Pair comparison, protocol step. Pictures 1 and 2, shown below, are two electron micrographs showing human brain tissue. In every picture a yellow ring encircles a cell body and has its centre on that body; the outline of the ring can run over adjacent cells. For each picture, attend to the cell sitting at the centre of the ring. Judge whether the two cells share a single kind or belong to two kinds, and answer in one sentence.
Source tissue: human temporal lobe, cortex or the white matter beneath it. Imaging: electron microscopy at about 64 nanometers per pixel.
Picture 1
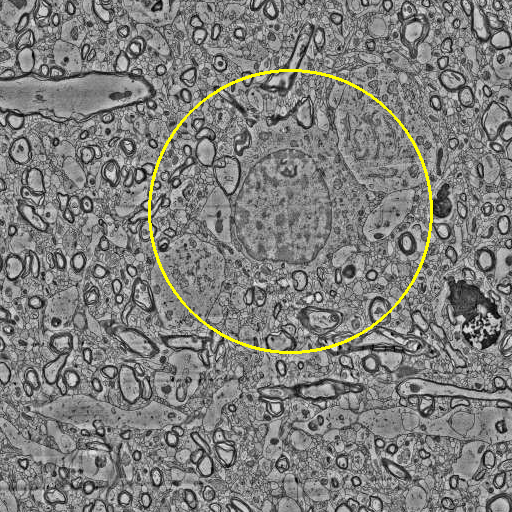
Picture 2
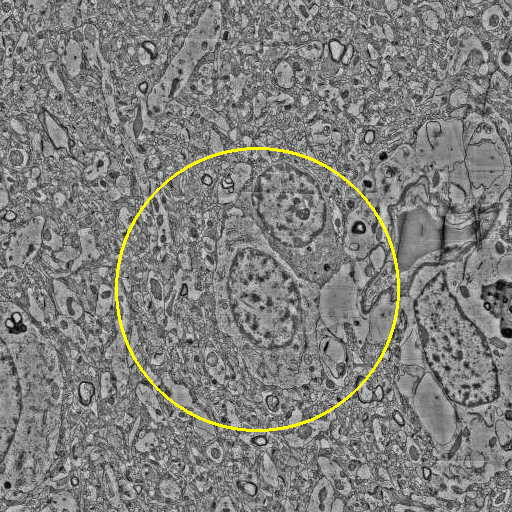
The two cells at the ring centres in Picture 1 and Picture 2 belong to two kinds.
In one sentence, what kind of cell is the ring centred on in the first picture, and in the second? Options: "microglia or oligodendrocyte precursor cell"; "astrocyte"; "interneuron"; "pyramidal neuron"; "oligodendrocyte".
The cell at the centre of the second ring is an interneuron; the first ring's cell is an oligodendrocyte.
